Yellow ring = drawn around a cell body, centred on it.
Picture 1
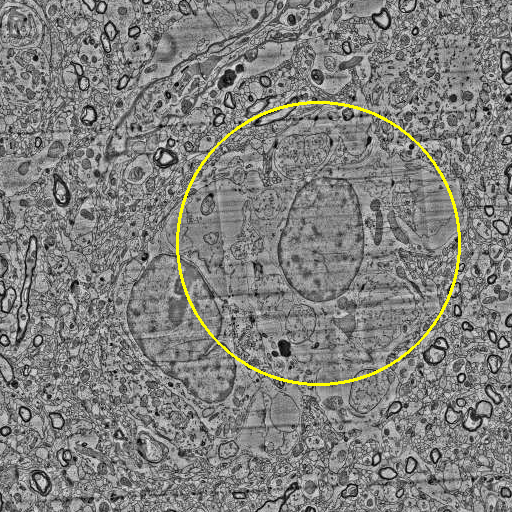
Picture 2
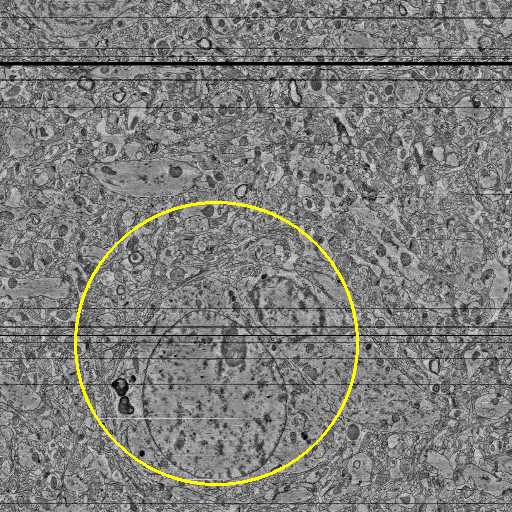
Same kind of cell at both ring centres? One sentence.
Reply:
No, they are two kinds of cell.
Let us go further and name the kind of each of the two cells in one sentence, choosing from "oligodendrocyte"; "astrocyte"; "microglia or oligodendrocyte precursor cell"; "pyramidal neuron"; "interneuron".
The ring of the first picture is on an astrocyte, the ring of the second on a pyramidal neuron.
